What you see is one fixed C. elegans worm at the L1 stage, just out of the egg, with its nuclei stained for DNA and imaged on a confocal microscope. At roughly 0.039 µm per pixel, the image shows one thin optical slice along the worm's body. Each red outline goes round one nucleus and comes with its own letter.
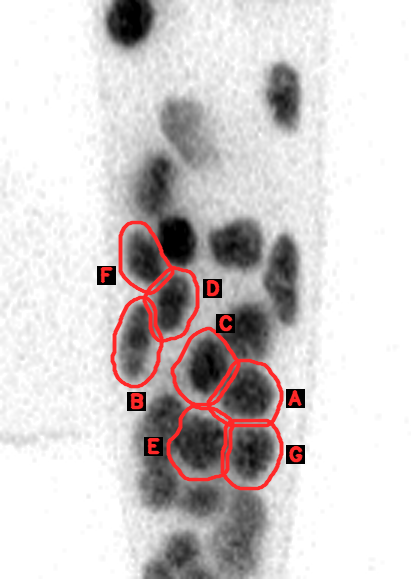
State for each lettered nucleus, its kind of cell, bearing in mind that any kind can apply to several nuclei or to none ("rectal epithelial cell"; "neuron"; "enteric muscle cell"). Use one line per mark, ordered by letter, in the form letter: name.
A: neuron
B: rectal epithelial cell
C: rectal epithelial cell
D: rectal epithelial cell
E: neuron
F: neuron
G: enteric muscle cell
